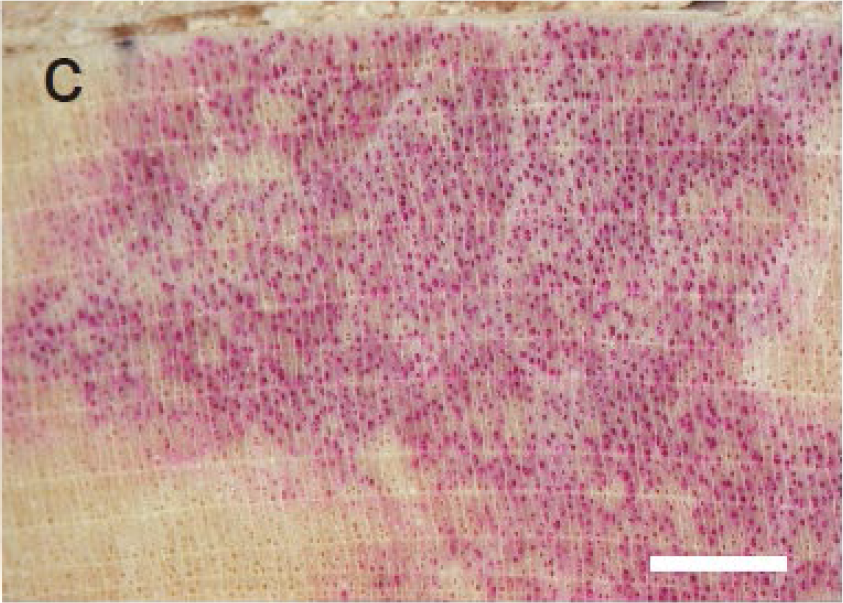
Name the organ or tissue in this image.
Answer: xylem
